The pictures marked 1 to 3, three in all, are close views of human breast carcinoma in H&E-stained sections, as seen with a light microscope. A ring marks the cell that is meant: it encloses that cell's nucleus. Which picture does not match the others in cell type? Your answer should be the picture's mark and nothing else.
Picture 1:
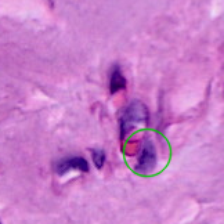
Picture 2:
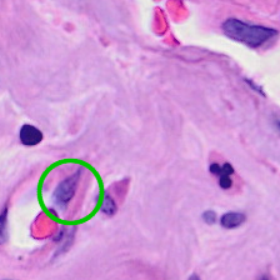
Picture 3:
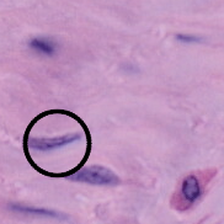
3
